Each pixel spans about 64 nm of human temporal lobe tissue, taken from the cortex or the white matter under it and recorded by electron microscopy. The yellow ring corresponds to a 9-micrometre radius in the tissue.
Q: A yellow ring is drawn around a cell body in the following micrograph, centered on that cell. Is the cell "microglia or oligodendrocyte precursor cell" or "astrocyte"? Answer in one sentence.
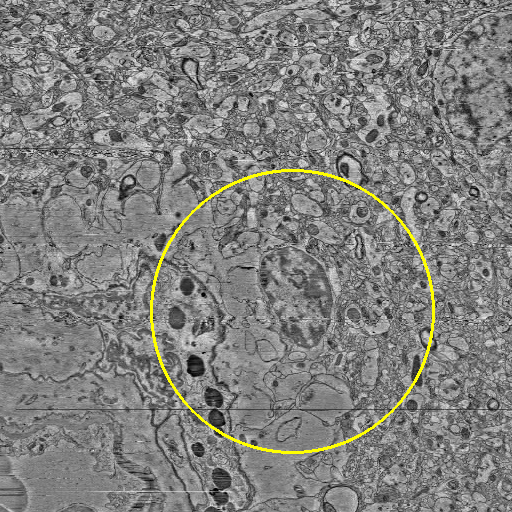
The cell in the center of the ring is a microglial cell or oligodendrocyte precursor cell.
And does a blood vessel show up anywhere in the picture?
Yes, a vessel shows somewhere in the image.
